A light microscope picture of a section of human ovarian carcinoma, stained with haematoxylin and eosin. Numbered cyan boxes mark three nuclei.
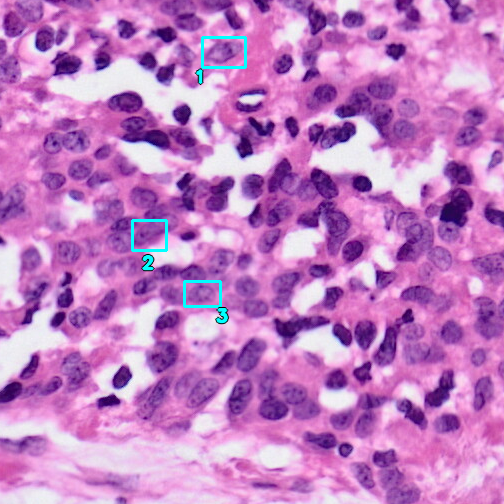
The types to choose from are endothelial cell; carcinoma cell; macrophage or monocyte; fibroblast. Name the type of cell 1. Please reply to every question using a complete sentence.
What the number 1 marks in this field is a macrophage or monocyte.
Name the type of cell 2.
Numbered cell 2 is a carcinoma cell in this tissue section.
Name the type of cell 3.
The cell numbered 3 has been identified as a carcinoma cell.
